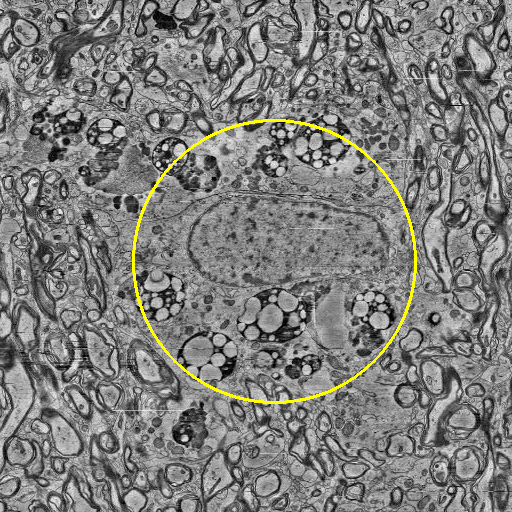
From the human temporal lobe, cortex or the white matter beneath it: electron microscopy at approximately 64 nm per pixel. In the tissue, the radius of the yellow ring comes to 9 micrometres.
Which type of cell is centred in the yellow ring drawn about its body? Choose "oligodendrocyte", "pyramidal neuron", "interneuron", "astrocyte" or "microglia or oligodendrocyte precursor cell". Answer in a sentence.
The yellow ring surrounds the cell body of an astrocyte.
